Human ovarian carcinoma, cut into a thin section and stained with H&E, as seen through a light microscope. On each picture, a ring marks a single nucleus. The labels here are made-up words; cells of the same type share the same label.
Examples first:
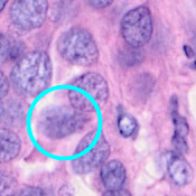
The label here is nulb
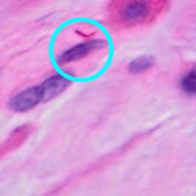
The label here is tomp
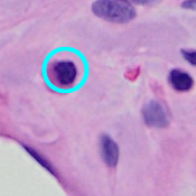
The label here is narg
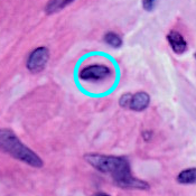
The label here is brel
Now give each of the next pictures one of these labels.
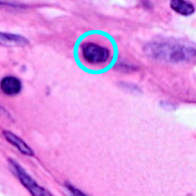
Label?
narg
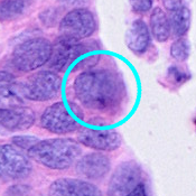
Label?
nulb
